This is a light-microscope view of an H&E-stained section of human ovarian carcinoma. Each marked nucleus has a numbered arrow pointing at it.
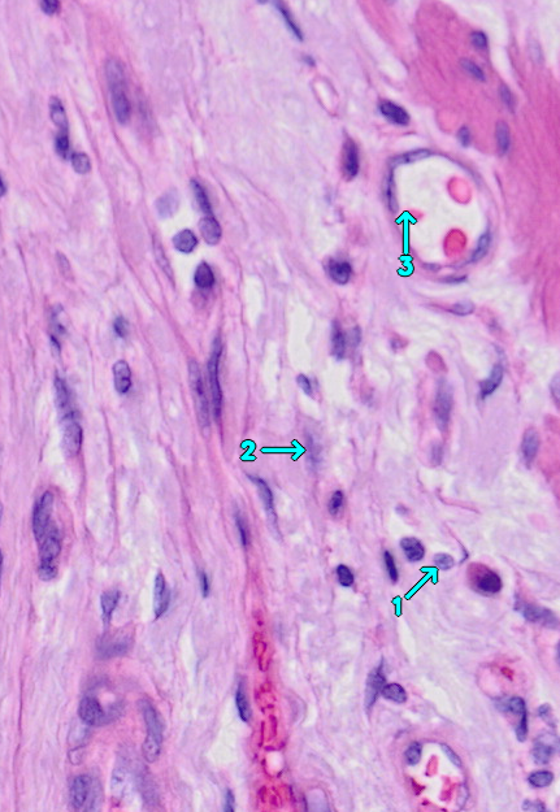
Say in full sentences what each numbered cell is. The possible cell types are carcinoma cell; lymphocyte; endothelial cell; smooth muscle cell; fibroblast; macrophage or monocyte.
Cell 1 is a lymphocyte. Cell 2 is a fibroblast. Cell 3 is an endothelial cell.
